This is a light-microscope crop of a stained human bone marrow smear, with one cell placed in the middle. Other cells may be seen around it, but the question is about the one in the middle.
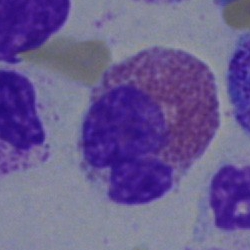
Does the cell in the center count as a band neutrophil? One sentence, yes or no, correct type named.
No, this is not a band neutrophil at all; the cell in the middle is an eosinophil.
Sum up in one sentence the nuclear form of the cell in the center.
It is worth mentioning that the nucleus carries two or more lobes.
